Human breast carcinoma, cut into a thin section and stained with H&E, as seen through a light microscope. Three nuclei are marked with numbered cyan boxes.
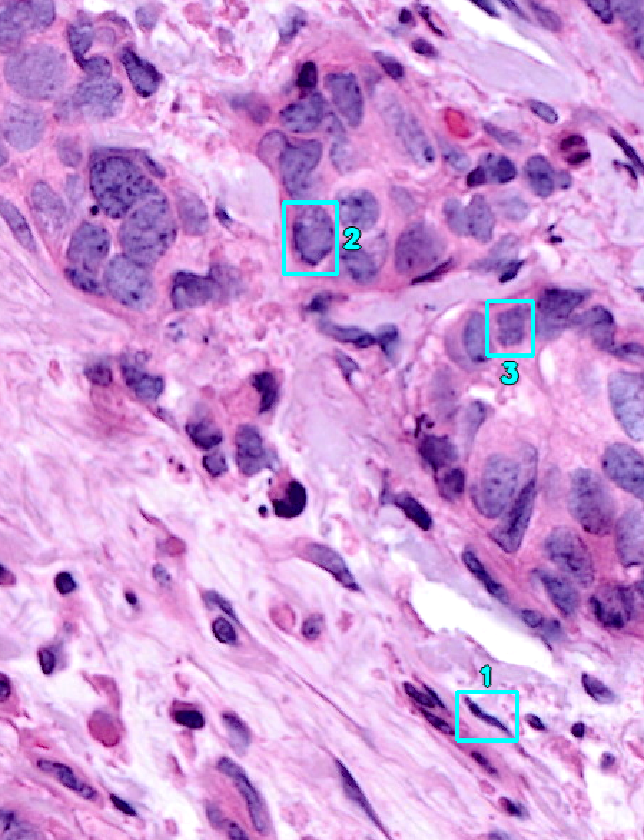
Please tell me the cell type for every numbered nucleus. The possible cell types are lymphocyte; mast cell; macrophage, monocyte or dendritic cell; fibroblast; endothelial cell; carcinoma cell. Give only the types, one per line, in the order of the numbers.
fibroblast
carcinoma cell
carcinoma cell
